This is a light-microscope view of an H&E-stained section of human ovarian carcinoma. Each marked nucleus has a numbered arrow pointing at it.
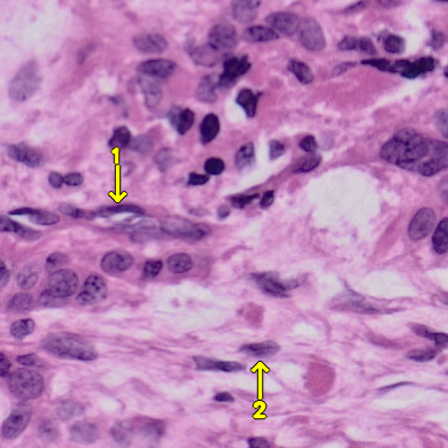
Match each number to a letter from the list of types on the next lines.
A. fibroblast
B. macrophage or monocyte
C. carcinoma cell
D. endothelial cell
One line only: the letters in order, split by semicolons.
D; A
